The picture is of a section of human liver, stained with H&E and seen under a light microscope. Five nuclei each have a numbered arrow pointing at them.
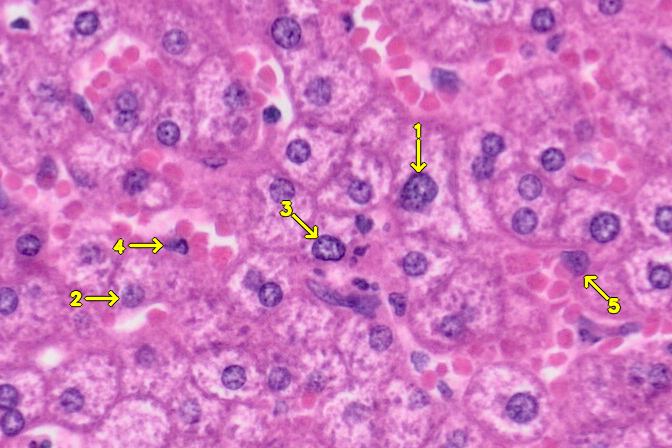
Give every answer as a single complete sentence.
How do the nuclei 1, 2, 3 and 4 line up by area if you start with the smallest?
The order from the smallest nucleus to the largest is 4, 2, 3, 1.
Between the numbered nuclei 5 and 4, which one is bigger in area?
Of the two, number 5 is bigger and takes up about 1.5 times the area of number 4.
